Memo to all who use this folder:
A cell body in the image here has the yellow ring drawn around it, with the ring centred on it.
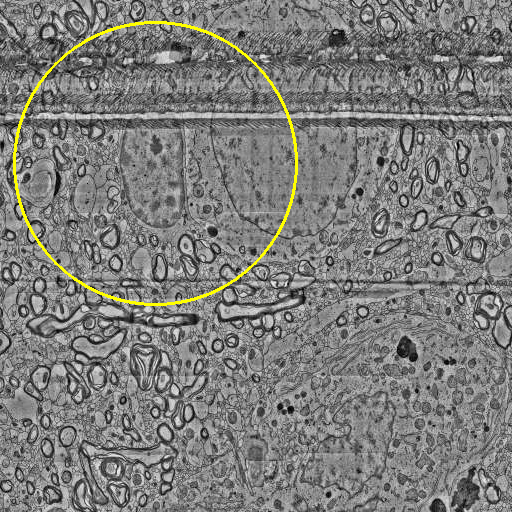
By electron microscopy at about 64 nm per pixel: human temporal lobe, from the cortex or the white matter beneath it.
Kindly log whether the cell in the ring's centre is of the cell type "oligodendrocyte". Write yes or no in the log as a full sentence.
Yes, logged: the ring in this image is centred on a cell of that type.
